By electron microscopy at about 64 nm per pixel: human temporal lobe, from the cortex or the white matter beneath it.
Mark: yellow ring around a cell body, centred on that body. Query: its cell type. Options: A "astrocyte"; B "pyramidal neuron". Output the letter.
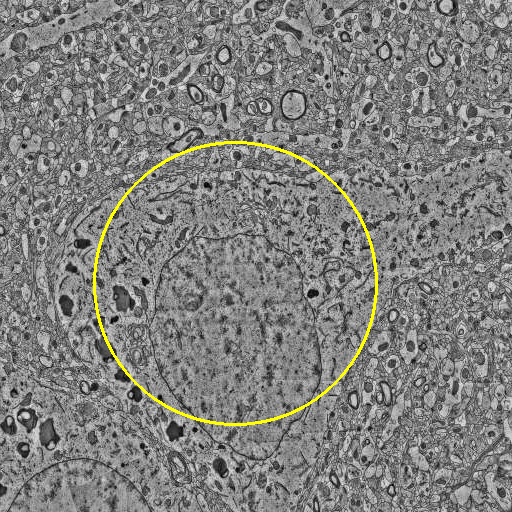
B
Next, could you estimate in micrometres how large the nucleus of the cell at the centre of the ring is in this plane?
About 15 by 11 micrometers, in this plane.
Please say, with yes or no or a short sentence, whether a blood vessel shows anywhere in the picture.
No, the picture includes no blood vessel.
